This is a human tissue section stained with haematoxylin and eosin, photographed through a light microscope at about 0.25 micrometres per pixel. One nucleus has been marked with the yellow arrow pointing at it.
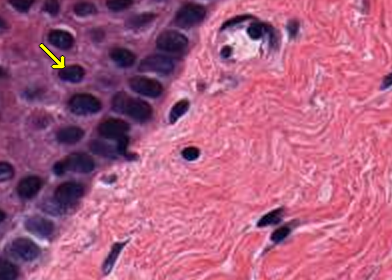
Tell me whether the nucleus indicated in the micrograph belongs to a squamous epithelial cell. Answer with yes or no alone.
yes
